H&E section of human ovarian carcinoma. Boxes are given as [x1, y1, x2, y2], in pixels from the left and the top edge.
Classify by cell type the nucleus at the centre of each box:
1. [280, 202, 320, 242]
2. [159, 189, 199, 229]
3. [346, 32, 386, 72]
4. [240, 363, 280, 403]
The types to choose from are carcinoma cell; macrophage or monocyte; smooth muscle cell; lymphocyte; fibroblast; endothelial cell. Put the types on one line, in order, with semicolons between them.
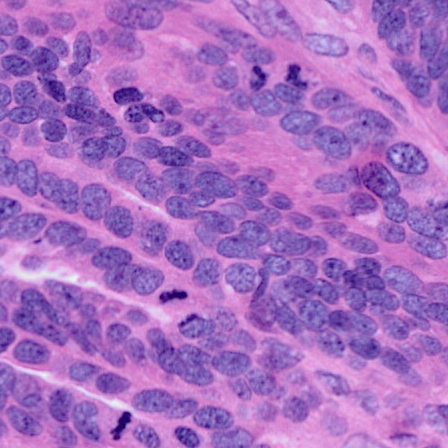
carcinoma cell; carcinoma cell; fibroblast; carcinoma cell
